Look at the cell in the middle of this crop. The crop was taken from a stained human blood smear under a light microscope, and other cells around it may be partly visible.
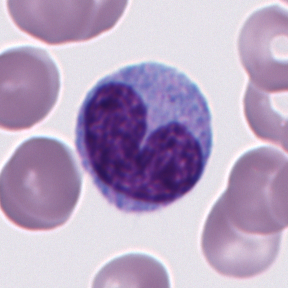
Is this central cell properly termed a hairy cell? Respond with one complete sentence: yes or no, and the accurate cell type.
No, the cell at the center of this crop is a monocyte instead of a hairy cell.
